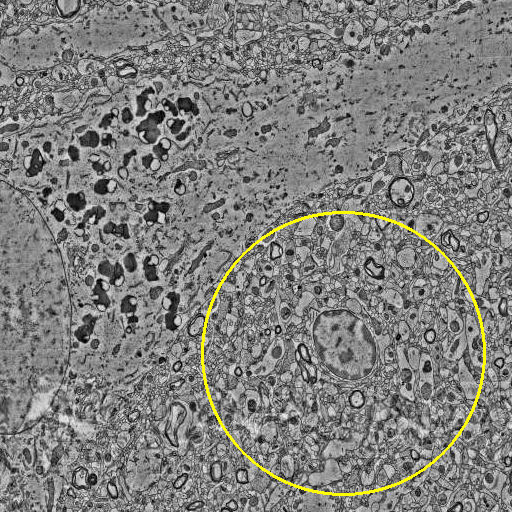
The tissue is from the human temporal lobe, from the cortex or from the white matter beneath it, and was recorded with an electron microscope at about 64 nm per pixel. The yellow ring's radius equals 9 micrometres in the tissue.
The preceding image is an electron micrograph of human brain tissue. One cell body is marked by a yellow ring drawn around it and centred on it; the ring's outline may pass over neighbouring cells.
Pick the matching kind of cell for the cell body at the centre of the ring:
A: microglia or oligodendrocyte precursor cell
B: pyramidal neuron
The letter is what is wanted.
A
